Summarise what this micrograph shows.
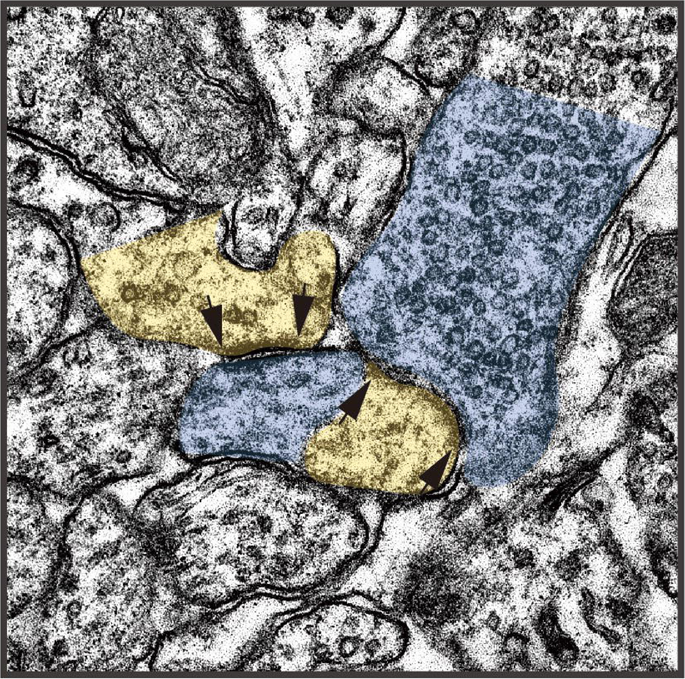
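Where they meet, the membrane on the postsynaptic side carries a dark, thickened density, bracketed by arrows. The surrounding neuropil consists of many small membrane-bound profiles of other processes.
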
